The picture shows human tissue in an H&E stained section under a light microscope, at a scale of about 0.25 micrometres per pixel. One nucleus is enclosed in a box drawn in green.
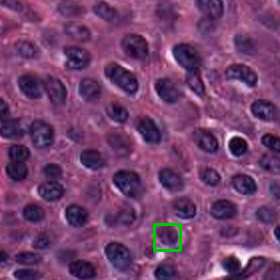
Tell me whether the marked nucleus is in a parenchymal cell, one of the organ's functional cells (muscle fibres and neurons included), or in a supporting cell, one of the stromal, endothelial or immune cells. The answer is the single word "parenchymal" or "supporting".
parenchymal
